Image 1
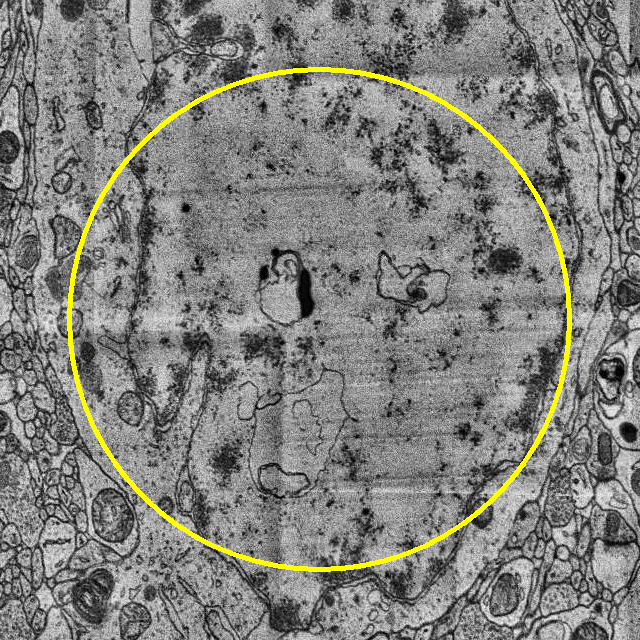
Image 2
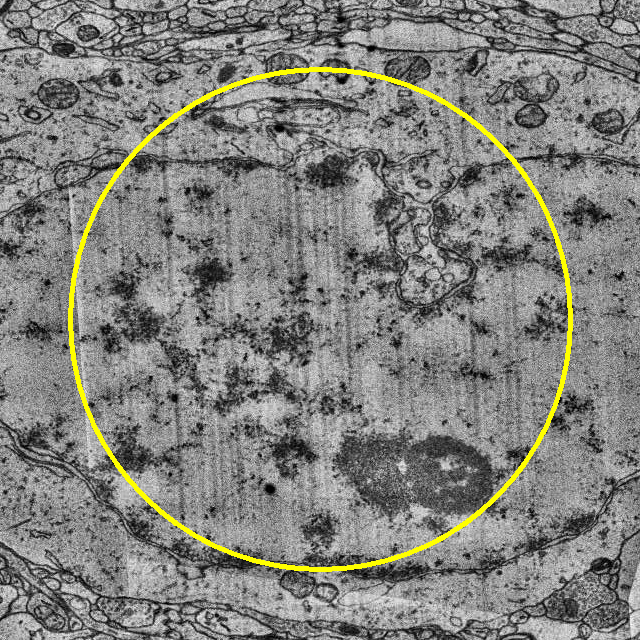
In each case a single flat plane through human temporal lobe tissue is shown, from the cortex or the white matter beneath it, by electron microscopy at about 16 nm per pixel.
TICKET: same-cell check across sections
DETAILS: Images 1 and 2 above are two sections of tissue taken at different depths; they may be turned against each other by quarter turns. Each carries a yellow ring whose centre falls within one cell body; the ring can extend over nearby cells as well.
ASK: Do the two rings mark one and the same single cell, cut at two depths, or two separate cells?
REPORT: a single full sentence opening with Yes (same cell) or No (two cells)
Yes, each ring singles out the same cell.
